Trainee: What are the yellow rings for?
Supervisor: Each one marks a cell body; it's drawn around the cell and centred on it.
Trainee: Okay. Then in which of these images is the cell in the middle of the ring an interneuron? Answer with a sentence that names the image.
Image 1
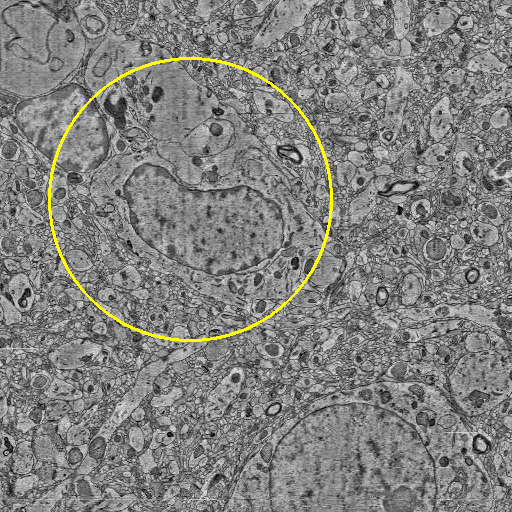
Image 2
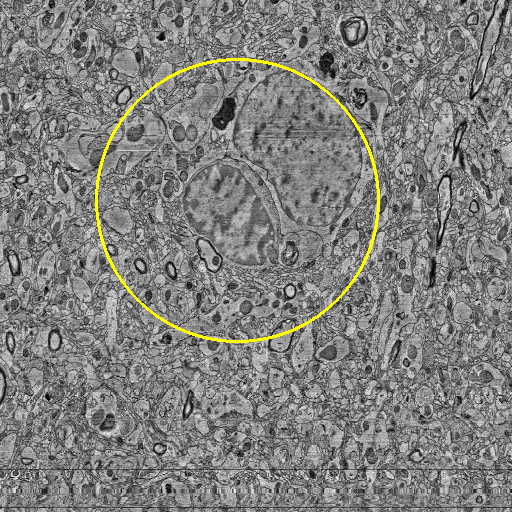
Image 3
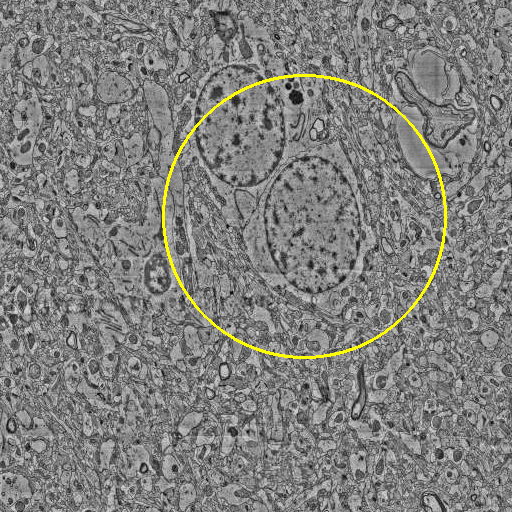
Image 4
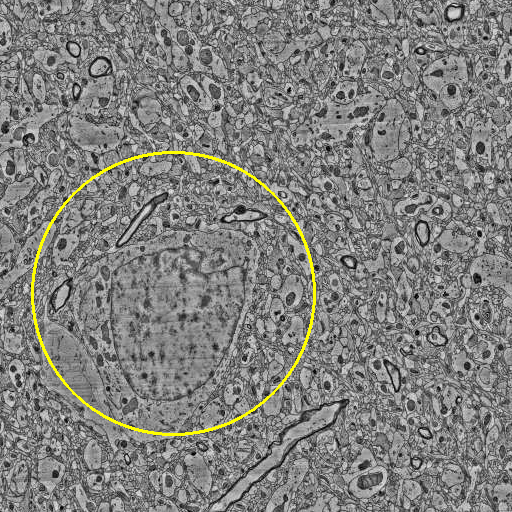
Image 4 has it in the middle of the ring.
